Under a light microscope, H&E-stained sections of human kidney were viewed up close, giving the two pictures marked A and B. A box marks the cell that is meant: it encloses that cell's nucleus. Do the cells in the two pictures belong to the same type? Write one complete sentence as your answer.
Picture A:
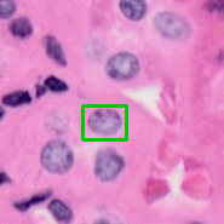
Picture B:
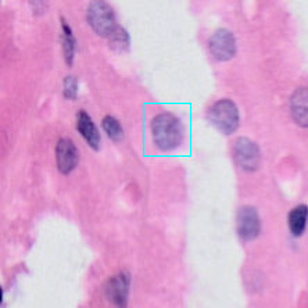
Yes; the cells in both pictures are “loop of Henle or distal tubule cells”.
